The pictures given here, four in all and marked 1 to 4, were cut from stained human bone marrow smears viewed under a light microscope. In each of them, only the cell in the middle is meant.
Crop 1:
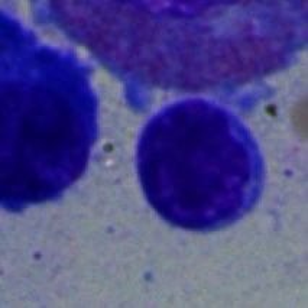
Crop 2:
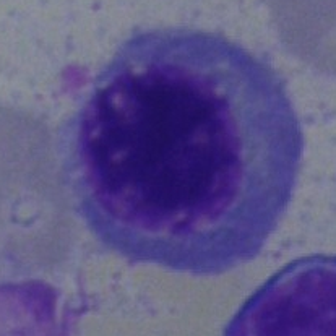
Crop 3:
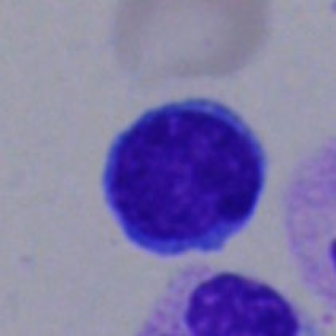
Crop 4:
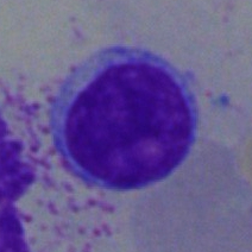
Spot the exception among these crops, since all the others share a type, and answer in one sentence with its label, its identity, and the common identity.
Every crop but one shows lymphocytes; the exception, crop 2, shows a normoblast.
